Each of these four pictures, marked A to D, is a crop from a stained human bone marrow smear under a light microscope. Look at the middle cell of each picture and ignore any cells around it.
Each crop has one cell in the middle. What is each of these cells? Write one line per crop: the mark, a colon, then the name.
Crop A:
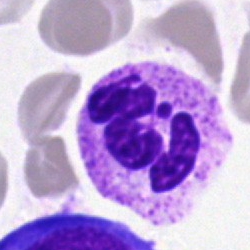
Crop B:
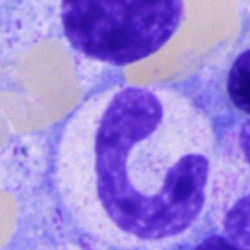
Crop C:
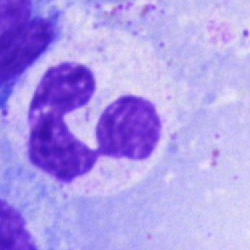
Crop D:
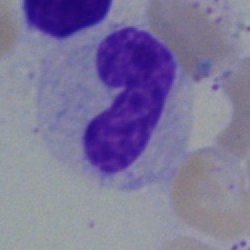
A: segmented neutrophil
B: band neutrophil
C: segmented neutrophil
D: band neutrophil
